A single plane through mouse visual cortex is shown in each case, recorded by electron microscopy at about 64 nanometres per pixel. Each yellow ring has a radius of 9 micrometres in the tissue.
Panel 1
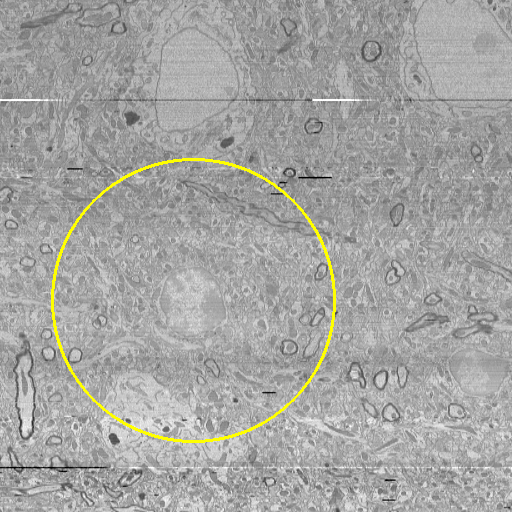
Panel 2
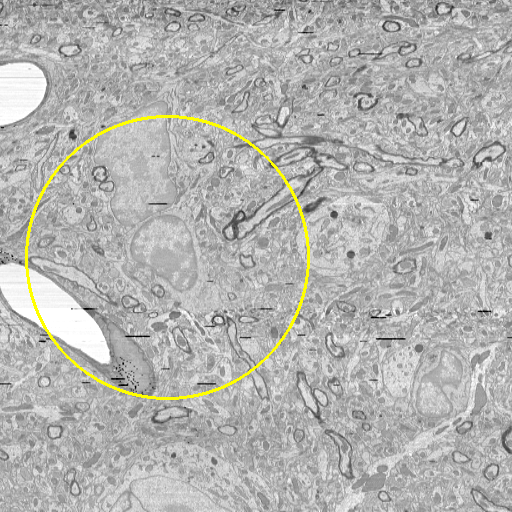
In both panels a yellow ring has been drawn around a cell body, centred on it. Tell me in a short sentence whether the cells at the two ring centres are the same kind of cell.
Yes, they are the same kind of cell.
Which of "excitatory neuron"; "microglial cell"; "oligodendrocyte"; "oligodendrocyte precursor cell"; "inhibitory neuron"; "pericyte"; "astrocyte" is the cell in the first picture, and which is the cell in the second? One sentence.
The second cell is an oligodendrocyte, just as the first is.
